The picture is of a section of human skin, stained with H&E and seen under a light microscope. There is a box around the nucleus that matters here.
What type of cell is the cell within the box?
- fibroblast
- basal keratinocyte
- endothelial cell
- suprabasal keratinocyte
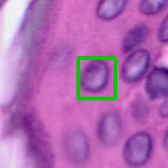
suprabasal keratinocyte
